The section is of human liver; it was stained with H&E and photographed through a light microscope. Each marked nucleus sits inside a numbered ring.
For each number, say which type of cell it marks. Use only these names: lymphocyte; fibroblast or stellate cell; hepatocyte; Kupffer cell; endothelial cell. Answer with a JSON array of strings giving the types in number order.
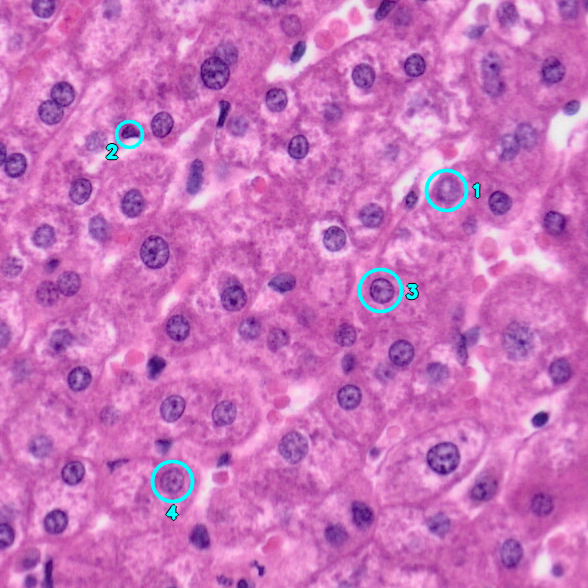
["hepatocyte", "endothelial cell", "hepatocyte", "hepatocyte"]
